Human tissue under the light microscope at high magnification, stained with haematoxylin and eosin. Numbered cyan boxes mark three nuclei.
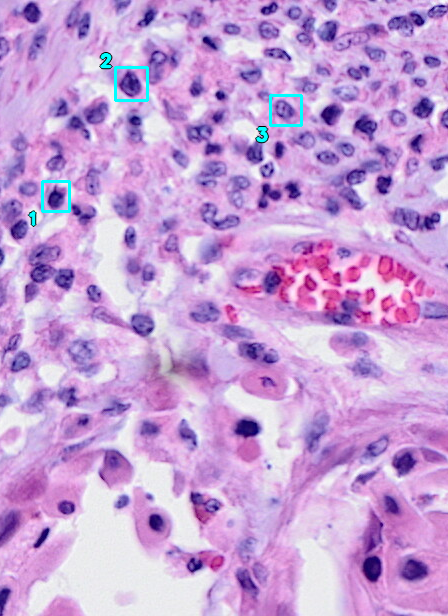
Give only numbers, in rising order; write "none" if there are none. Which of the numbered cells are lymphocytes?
1, 2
